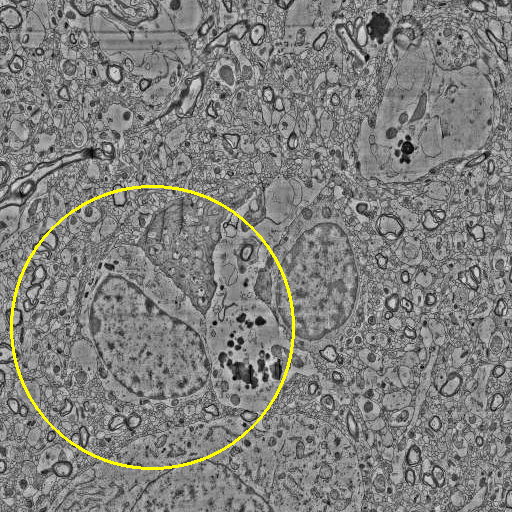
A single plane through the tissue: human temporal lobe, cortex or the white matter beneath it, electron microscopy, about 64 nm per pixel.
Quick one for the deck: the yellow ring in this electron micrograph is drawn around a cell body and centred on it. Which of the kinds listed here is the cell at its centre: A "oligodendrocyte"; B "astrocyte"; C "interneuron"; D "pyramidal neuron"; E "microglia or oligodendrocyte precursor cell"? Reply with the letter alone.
E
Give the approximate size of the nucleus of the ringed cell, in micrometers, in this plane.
The ringed cell's nucleus is about 9 micrometres long and 6 micrometres wide in this plane.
